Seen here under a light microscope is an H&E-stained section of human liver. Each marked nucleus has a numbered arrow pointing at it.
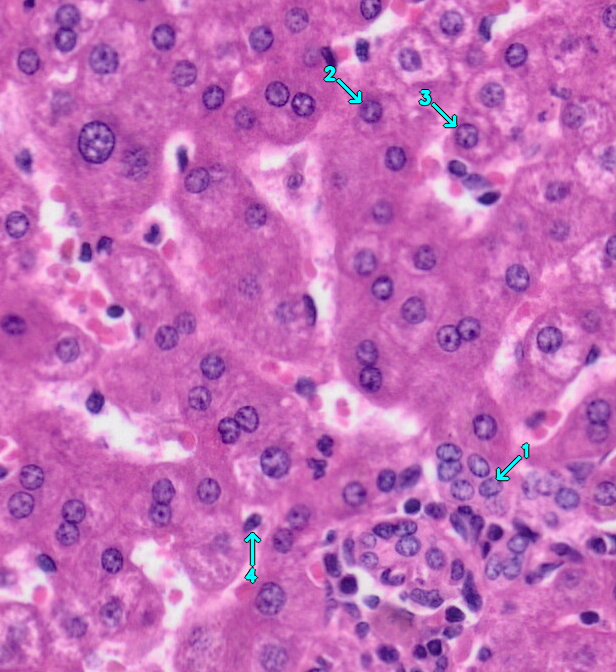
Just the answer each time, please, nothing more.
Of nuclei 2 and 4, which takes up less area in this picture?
4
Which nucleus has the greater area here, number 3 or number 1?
3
